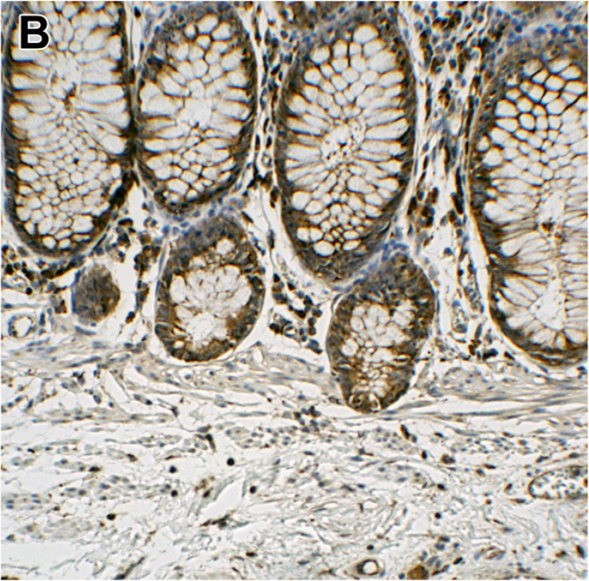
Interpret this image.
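Normal colonic mucosa near its base, with crypts cut across and obliquely. Each crypt is a ring of columnar epithelial cells whose cytoplasm is stained brown, surrounding many goblet cells whose pale, clear mucin vacuoles give the centre a honeycomb look. Nuclei sit at the base of the epithelial cells, toward the outside of each ring. Between the crypts the lamina propria holds scattered stromal and inflammatory cells, some with brown cytoplasm. Below the crypts lies loose, pale fibrous connective tissue with sparse, scattered nuclei.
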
